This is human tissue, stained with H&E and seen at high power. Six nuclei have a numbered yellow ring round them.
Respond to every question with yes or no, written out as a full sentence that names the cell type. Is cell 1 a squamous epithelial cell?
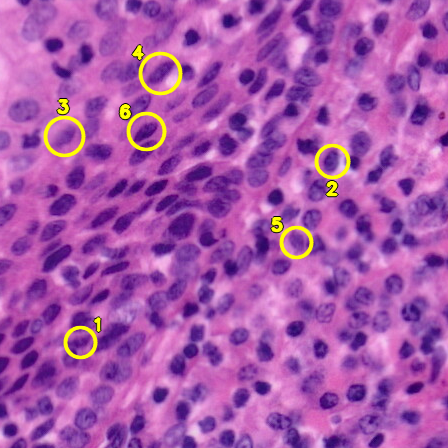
Yes, the cell at the mark numbered 1 is a squamous epithelial cell.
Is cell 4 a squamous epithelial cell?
Yes, the cell marked with number 4 is a squamous epithelial cell.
